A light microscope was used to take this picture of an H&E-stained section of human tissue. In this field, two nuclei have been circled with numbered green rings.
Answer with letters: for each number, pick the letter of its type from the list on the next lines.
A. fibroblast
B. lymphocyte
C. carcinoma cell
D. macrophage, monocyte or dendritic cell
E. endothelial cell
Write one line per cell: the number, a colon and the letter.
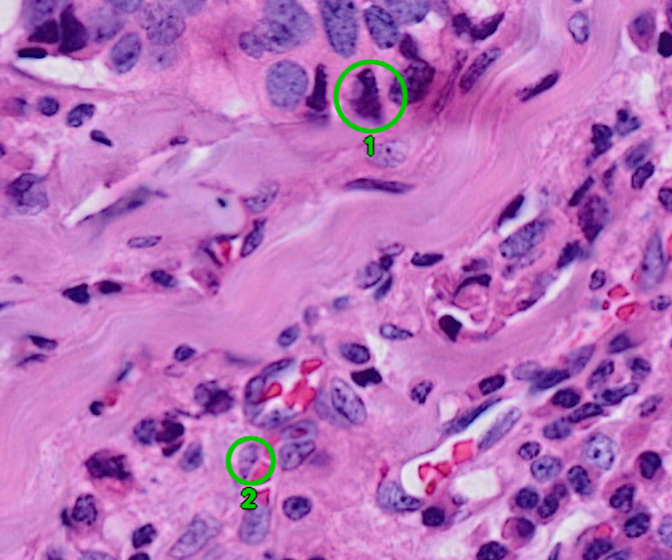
1: C
2: E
